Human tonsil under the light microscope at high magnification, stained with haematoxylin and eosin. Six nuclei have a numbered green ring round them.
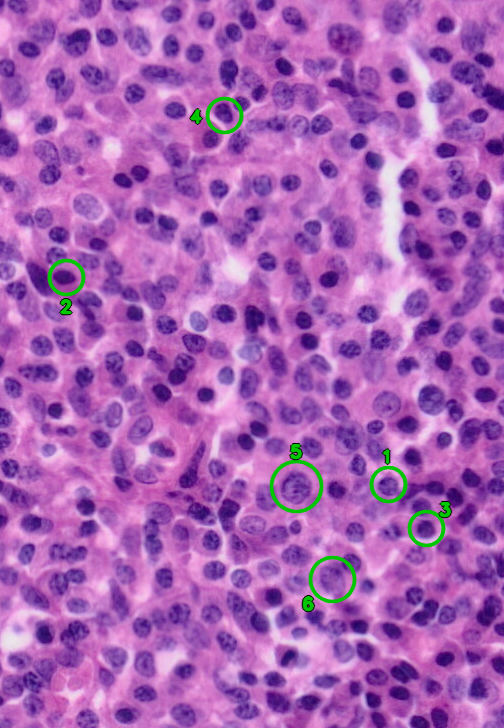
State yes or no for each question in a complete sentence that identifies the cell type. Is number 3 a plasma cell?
Yes, number 3 is assigned to a cell that is a plasma cell.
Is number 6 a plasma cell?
No; cell 6 is a squamous epithelial cell, not a plasma cell.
